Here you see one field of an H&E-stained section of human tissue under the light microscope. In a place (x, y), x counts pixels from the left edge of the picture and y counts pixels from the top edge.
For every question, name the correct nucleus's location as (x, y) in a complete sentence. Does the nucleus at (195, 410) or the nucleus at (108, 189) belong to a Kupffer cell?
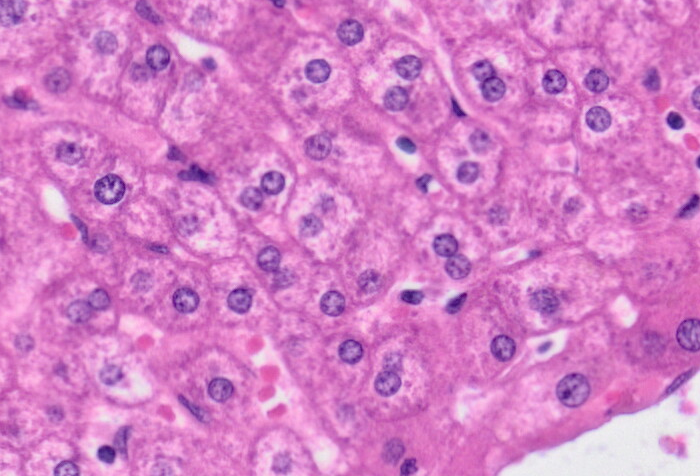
It is at (195, 410) that the nucleus of a Kupffer cell is found.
